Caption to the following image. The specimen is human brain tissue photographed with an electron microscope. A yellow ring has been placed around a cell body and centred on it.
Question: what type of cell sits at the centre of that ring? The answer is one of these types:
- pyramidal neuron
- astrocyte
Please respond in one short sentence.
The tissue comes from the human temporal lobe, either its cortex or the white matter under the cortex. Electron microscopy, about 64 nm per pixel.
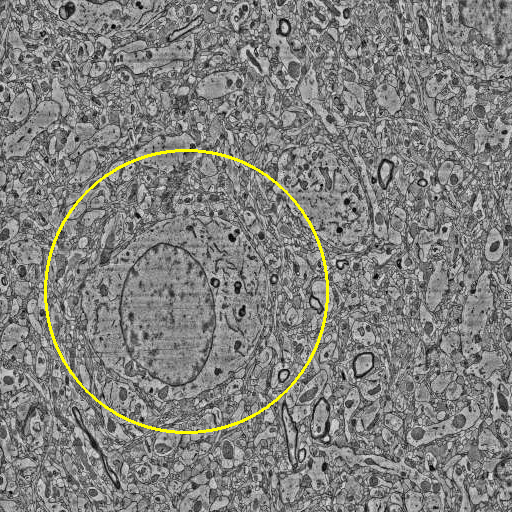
The ring surrounds the cell body of a pyramidal neuron.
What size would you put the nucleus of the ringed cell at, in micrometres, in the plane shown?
Approximately 9 by 6 micrometers in this plane.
